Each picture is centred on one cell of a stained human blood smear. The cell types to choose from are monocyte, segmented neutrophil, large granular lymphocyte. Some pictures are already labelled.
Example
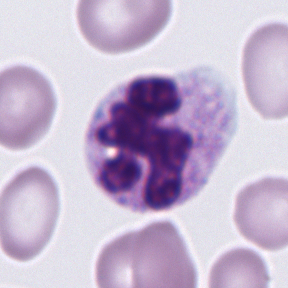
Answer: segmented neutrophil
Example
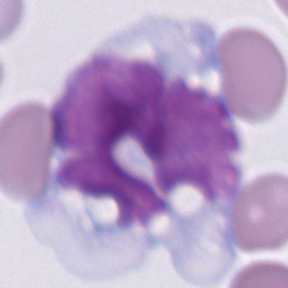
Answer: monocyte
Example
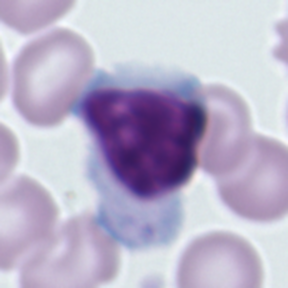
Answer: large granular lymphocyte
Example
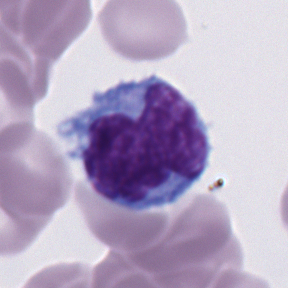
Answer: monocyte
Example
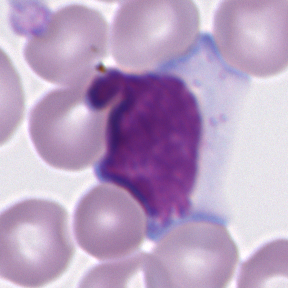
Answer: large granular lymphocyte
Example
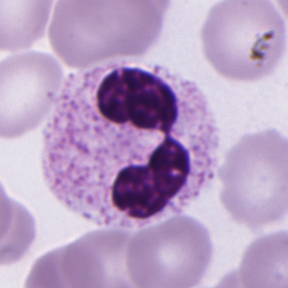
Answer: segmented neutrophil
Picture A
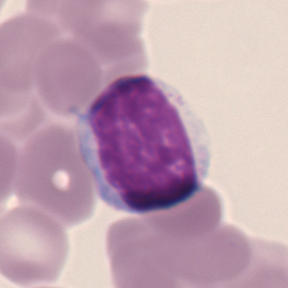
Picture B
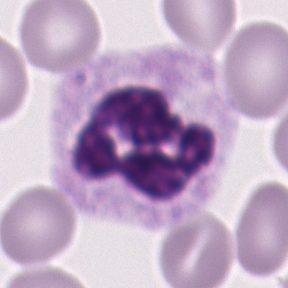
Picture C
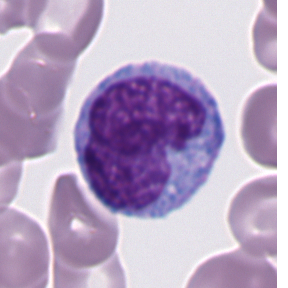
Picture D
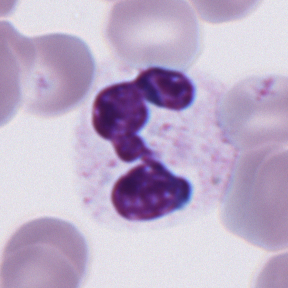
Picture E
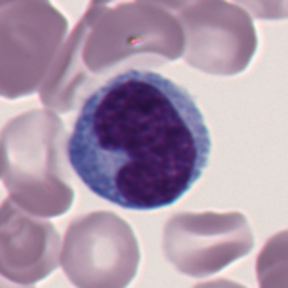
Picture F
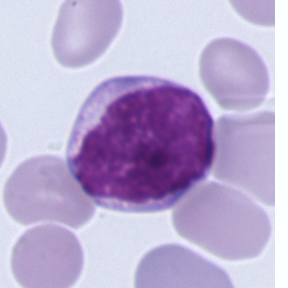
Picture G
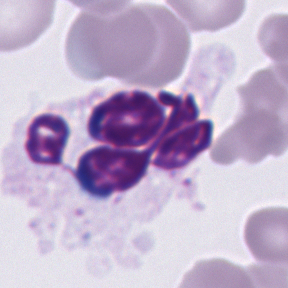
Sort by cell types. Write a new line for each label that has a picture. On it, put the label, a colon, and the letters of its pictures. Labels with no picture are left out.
monocyte: C, E
segmented neutrophil: B, D, G
large granular lymphocyte: A, F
